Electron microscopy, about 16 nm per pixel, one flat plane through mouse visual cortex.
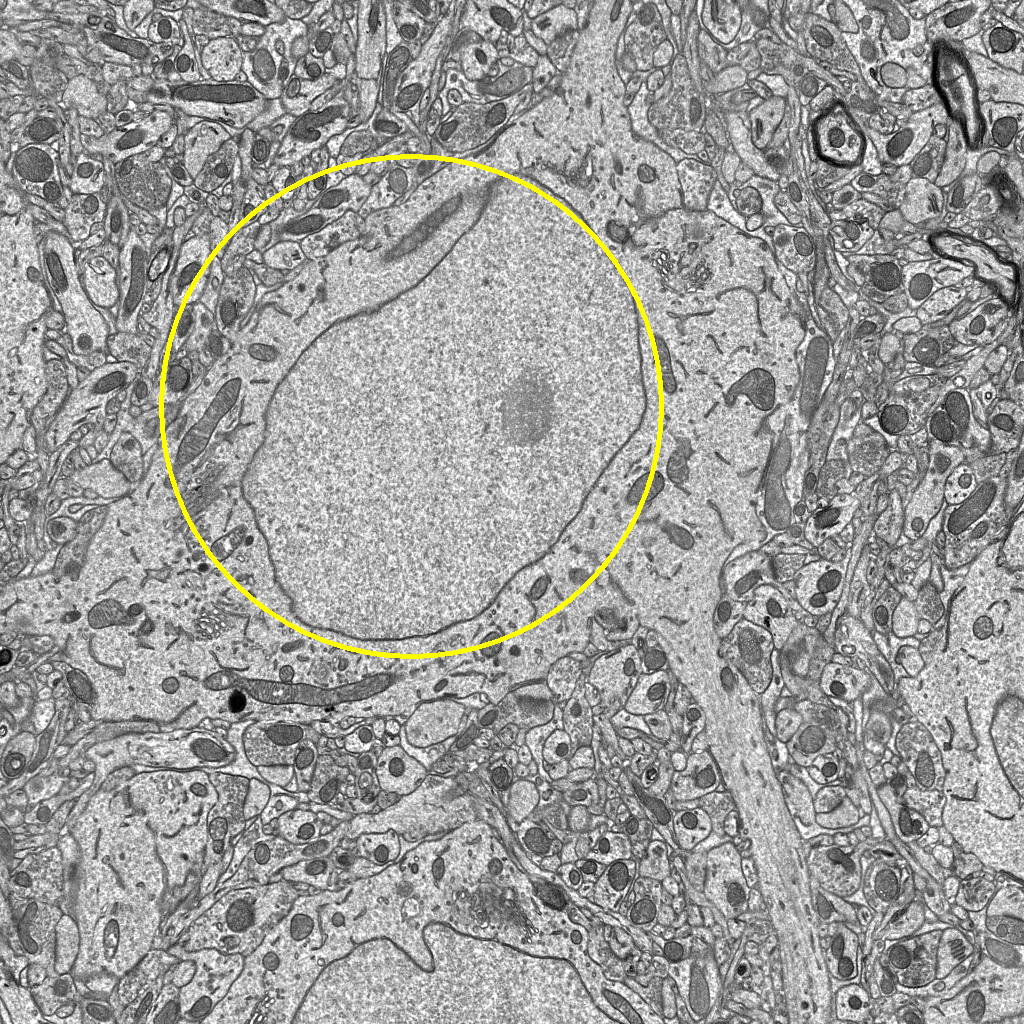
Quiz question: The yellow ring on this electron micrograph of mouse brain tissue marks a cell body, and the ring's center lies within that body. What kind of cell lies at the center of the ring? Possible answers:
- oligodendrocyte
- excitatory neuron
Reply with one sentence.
The ring's center lies on an excitatory neuron.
